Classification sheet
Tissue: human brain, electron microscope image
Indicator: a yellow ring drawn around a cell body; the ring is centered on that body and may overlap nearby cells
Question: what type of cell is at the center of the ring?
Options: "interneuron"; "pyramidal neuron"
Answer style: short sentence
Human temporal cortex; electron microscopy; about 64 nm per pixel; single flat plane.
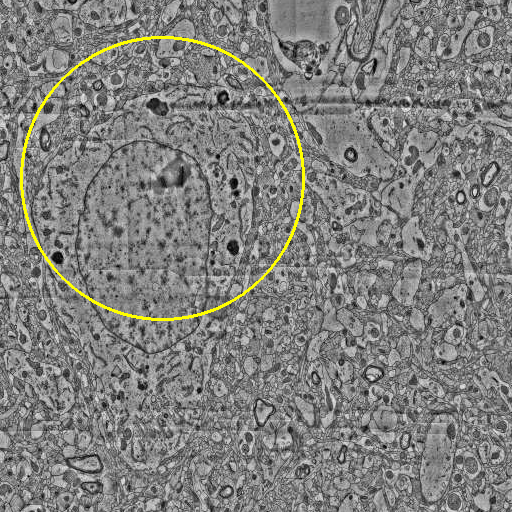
At the ring's center is a pyramidal neuron.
